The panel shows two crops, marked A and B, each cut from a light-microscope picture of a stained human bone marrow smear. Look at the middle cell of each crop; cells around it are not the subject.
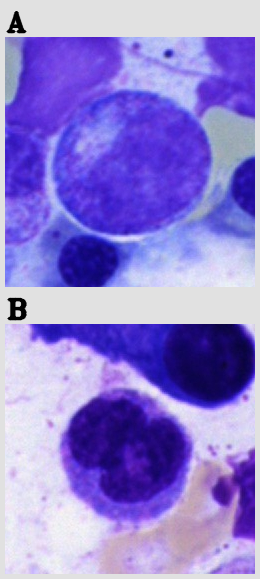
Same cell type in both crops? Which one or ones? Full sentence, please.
No, within crop A lies a promyelocyte, and within crop B lies a monocyte.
